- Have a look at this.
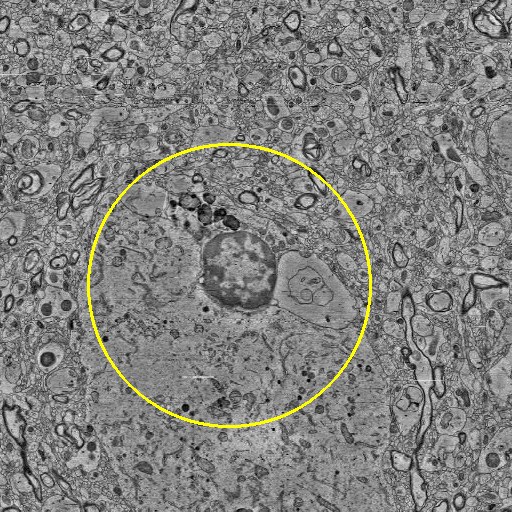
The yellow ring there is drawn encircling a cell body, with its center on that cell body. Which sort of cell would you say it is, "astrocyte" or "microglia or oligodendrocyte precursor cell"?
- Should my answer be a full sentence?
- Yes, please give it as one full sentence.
For this picture, a microglial cell or oligodendrocyte precursor cell is the cell where the yellow ring has its center.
